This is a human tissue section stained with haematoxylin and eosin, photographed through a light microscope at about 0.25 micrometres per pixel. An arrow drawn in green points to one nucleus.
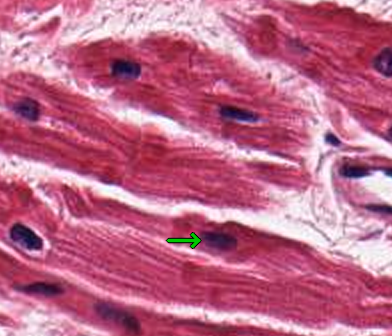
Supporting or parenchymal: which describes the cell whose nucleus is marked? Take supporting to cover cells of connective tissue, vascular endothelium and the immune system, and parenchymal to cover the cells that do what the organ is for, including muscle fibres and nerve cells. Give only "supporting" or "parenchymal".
parenchymal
